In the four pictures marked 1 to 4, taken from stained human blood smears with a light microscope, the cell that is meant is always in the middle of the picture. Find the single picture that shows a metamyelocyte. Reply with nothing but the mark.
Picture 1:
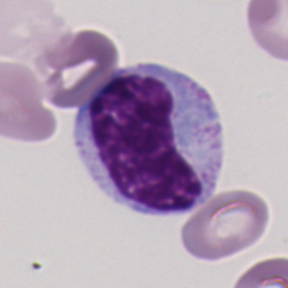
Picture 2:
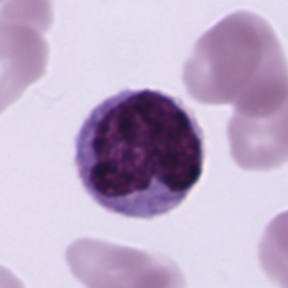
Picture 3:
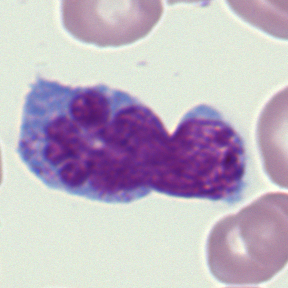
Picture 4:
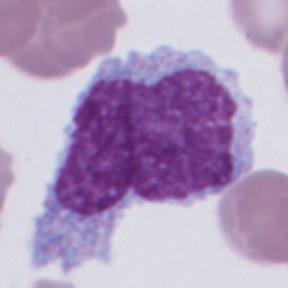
1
